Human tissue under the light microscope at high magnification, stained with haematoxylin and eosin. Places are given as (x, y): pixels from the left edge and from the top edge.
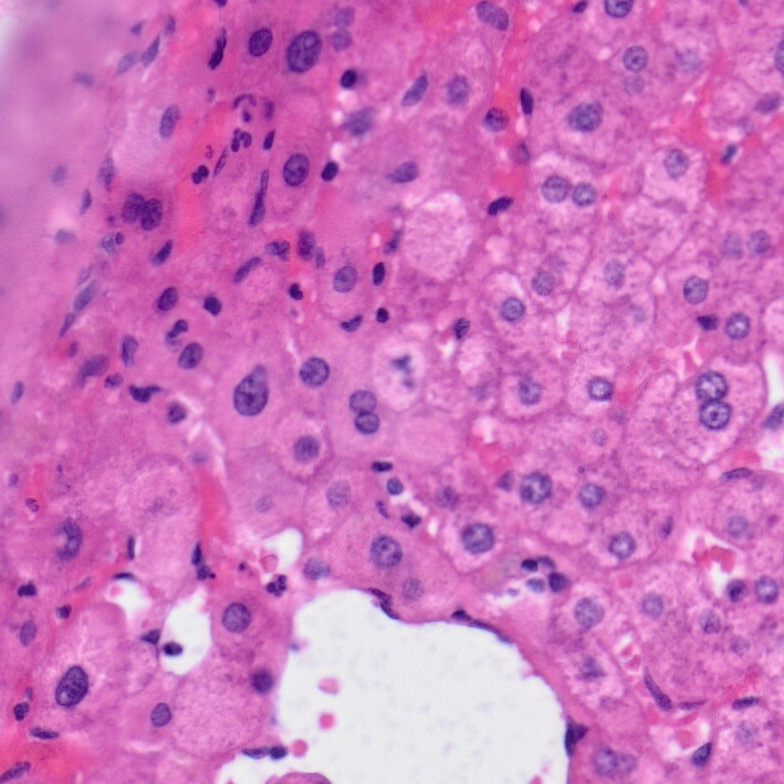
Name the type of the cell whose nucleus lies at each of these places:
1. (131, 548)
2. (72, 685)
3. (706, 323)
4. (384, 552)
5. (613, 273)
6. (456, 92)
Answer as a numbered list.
1. fibroblast or stellate cell
2. hepatocyte
3. fibroblast or stellate cell
4. hepatocyte
5. hepatocyte
6. hepatocyte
